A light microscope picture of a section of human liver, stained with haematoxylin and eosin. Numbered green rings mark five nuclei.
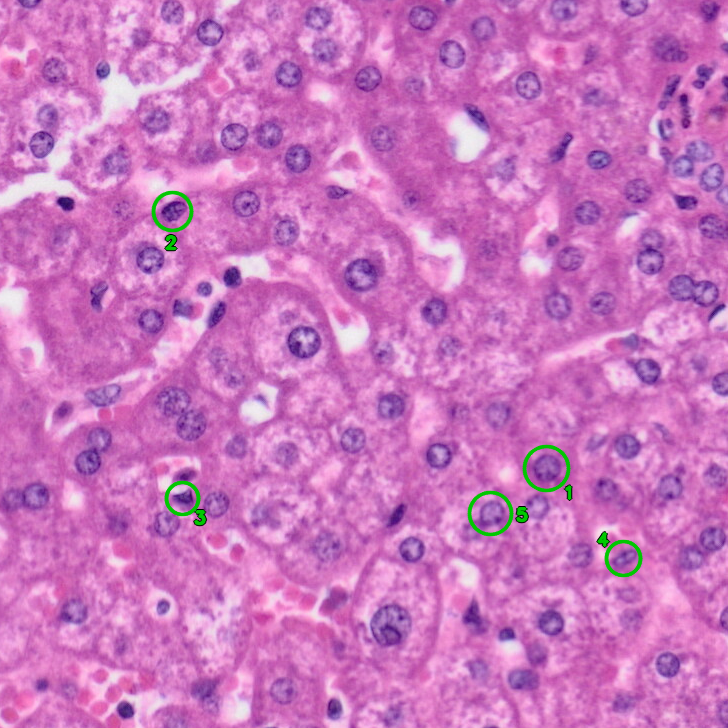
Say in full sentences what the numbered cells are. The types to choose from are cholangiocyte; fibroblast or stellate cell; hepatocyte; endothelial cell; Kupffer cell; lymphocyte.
Cell 1 is a hepatocyte, cell 2 is a fibroblast or stellate cell, cell 3 is a fibroblast or stellate cell, cell 4 is a Kupffer cell and cell 5 is a hepatocyte.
